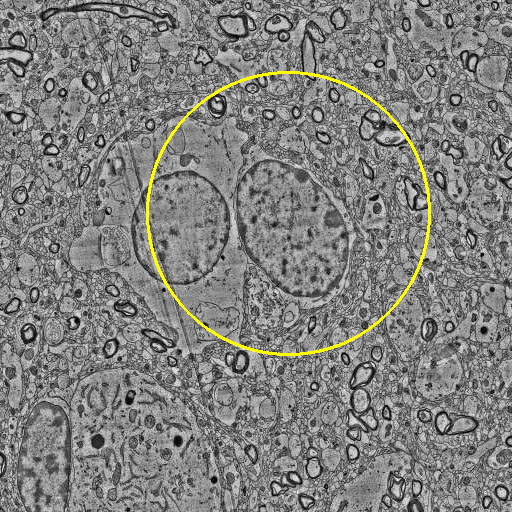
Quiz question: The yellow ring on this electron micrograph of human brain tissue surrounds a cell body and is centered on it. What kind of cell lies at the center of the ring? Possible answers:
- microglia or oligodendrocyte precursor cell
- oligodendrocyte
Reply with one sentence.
The ring's center lies on a microglial cell or oligodendrocyte precursor cell.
